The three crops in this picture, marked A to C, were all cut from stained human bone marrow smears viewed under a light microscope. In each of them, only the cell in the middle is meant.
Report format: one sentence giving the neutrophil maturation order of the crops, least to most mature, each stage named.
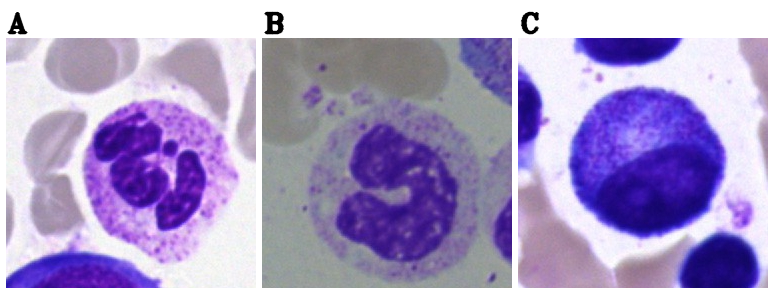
The sequence in which maturity rises is crop C (a promyelocyte), crop B (a band neutrophil) and crop A (a segmented neutrophil).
